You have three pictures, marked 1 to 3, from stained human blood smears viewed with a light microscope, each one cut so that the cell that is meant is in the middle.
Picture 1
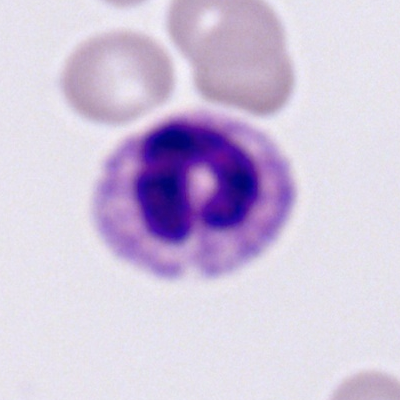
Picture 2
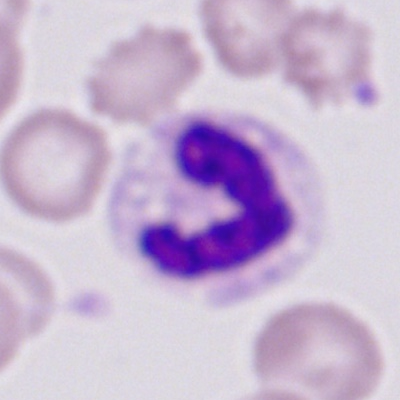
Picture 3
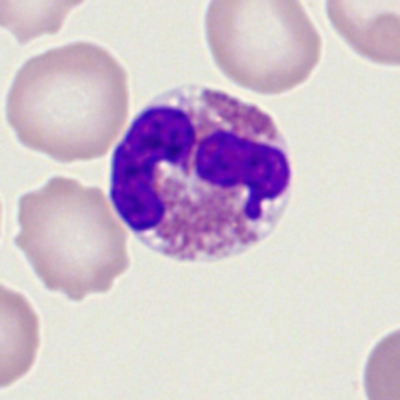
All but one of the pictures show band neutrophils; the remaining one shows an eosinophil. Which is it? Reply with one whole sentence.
The picture with the eosinophil is 3.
